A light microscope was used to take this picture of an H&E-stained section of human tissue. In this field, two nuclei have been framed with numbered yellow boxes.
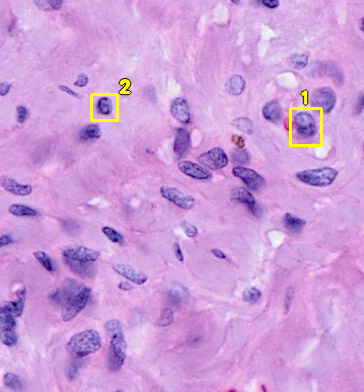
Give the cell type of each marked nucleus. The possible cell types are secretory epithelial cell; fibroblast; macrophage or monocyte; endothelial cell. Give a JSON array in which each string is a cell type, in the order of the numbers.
["endothelial cell", "fibroblast"]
